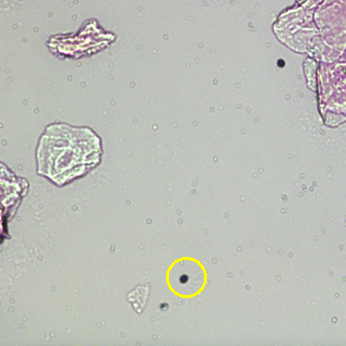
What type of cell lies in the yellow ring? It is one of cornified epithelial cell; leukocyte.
The ringed cell is a leukocyte.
